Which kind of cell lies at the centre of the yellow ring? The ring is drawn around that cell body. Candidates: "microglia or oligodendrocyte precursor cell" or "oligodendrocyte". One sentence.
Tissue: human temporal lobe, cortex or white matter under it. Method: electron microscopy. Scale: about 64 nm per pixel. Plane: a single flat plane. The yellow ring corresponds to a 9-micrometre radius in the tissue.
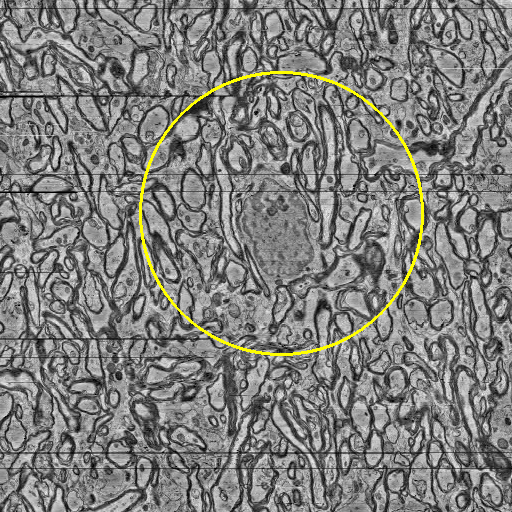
Lying at the centre of the ring is an oligodendrocyte.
